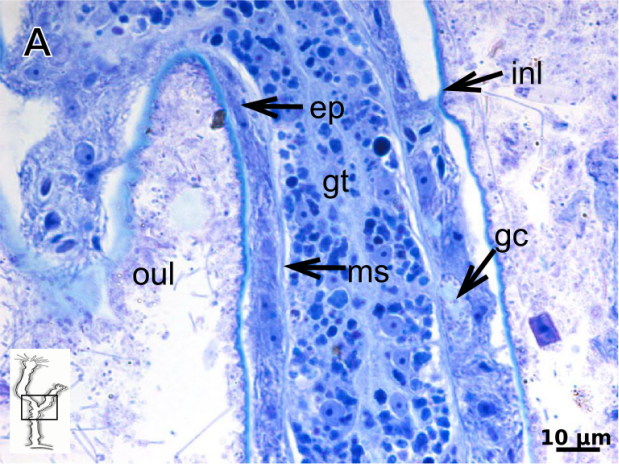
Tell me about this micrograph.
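A longitudinal section through a hydroid stem shows a central column of tissue enclosed by a thin, bright blue exoskeletal line, with a loose, pale granular outer layer outside it. The inner gastrodermis is packed with cells holding many dark blue, round granules and rounded nuclei. Outside it a thin, pale, acellular mesoglea separates it from the narrow outer epidermis, which contains paler glandular cells. A side branch with its own cells and blue-lined wall appears at the left.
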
